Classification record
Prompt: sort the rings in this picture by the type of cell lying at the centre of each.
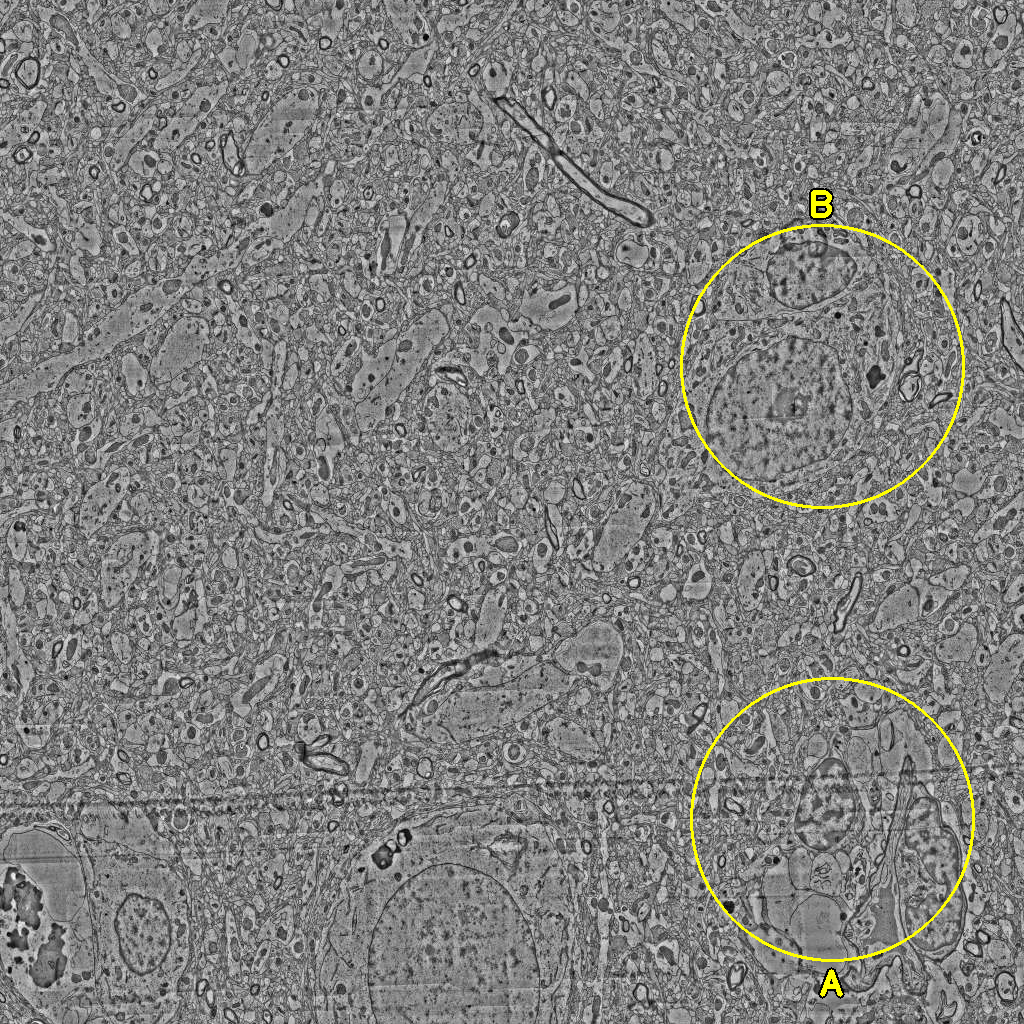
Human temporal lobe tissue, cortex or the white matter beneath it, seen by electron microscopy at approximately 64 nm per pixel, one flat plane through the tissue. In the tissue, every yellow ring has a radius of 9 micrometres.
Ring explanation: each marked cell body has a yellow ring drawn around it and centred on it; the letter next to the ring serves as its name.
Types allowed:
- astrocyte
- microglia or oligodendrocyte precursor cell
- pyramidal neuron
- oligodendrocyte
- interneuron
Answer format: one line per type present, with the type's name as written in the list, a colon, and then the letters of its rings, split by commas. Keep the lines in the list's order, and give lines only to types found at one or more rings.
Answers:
microglia or oligodendrocyte precursor cell: A
interneuron: B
